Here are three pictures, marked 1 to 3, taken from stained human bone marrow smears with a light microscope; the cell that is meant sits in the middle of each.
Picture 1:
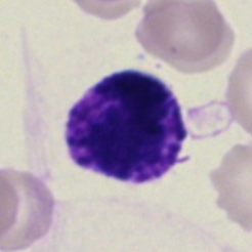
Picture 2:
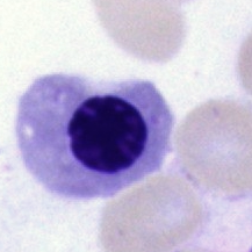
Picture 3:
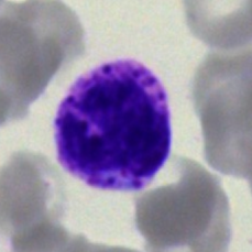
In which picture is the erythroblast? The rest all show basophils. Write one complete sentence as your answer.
Picture 2 is the one that shows the erythroblast.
